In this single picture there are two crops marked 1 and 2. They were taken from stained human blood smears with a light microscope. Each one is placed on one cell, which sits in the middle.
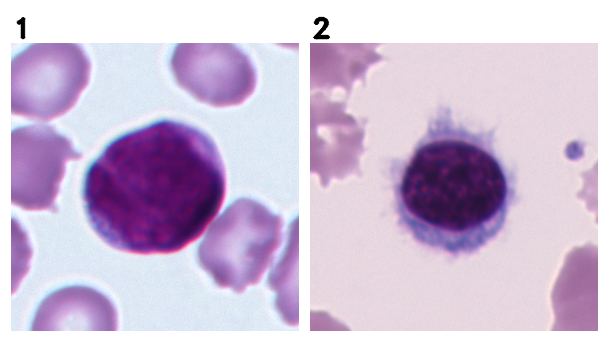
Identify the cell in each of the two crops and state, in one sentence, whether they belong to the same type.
No, crop 1 is the one with a myeloblast; crop 2 has a hairy cell.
